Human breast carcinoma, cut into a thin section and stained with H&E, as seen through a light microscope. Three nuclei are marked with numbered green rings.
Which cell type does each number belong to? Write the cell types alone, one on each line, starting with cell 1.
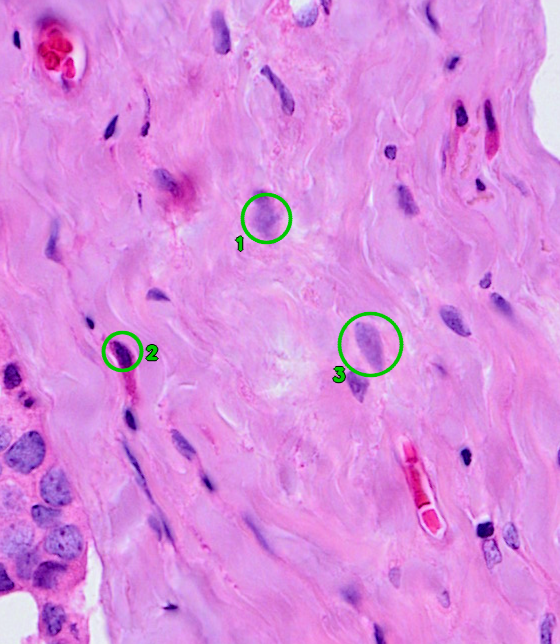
fibroblast
mast cell
fibroblast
